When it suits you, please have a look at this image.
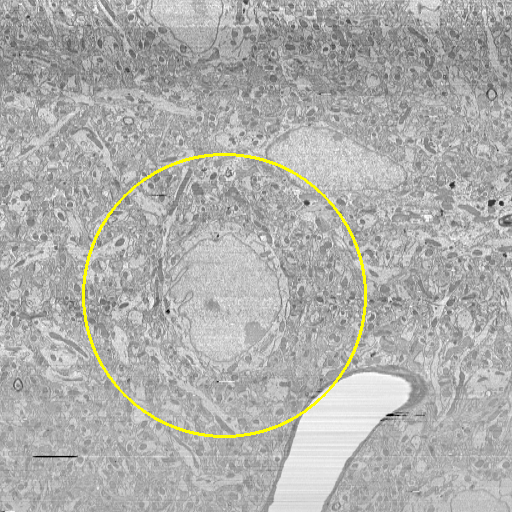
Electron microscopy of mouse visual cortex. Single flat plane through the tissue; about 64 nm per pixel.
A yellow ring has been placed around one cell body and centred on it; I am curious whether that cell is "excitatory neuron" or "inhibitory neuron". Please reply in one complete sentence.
The ringed cell, an inhibitory neuron, has its body at the centre of the yellow ring.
